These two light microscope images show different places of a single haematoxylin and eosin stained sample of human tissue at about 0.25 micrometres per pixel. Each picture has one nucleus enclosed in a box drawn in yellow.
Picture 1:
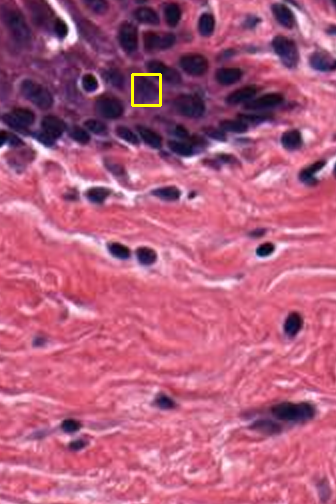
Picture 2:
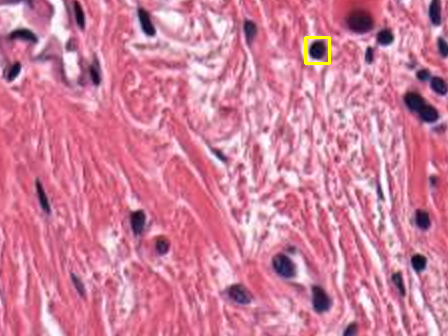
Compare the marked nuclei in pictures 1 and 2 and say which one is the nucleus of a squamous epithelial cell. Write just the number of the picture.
1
